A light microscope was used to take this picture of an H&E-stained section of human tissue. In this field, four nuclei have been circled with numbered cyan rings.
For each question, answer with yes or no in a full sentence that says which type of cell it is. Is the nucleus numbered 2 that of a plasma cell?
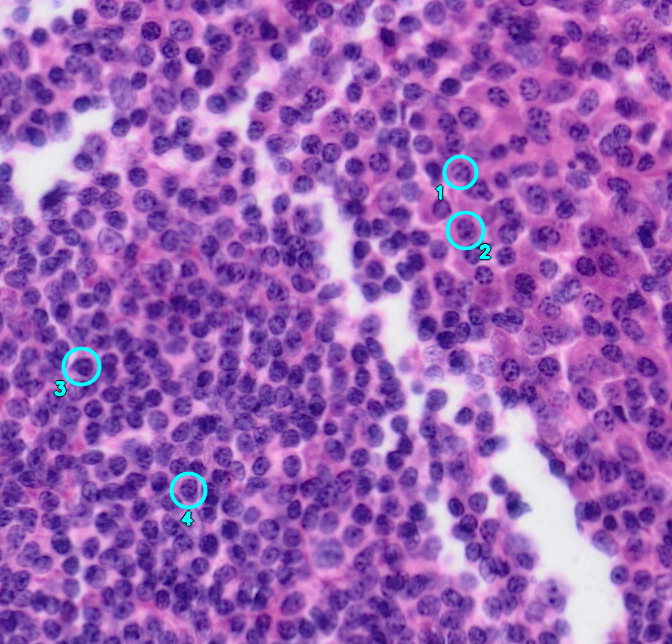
Yes, the marked cell numbered 2 is a plasma cell.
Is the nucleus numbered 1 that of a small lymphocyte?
No, it is not a small lymphocyte that bears number 1 but a plasma cell.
